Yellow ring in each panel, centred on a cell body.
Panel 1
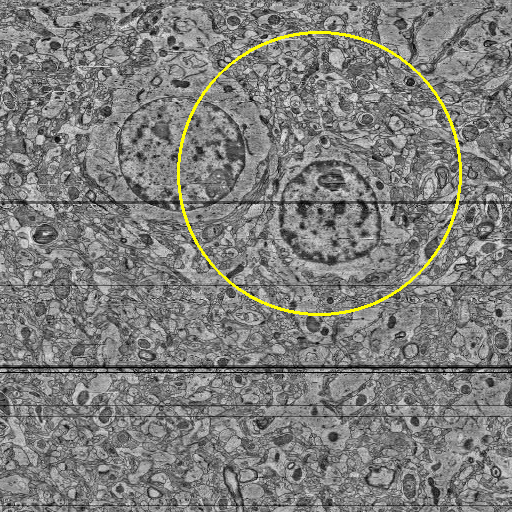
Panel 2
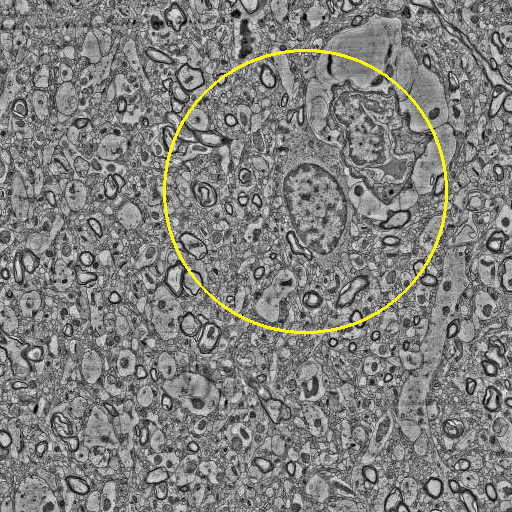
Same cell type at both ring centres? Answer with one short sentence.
No, the two cells are of two types.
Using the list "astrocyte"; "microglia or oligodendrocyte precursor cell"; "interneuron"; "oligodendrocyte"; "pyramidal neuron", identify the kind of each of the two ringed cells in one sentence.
The first is an astrocyte and the second is an oligodendrocyte.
